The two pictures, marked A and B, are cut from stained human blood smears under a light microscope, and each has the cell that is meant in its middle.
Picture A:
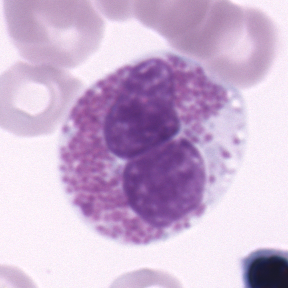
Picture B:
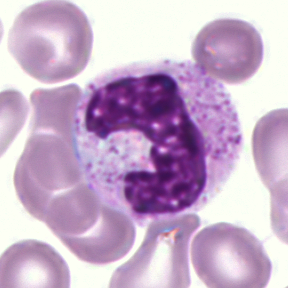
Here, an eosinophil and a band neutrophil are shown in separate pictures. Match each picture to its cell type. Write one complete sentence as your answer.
The cell in picture A is an eosinophil, and the one in picture B is a band neutrophil.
